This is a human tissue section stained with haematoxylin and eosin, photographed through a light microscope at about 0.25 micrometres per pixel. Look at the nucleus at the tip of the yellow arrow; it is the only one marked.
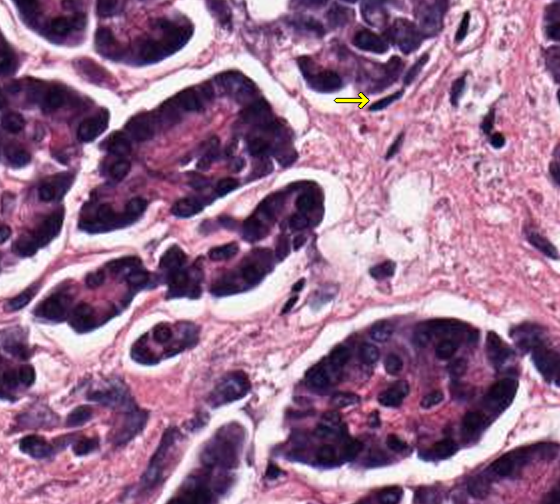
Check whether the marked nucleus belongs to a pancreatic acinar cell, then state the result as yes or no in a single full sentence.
No, the marked nucleus is not the nucleus of a pancreatic acinar cell but of a supporting cell.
